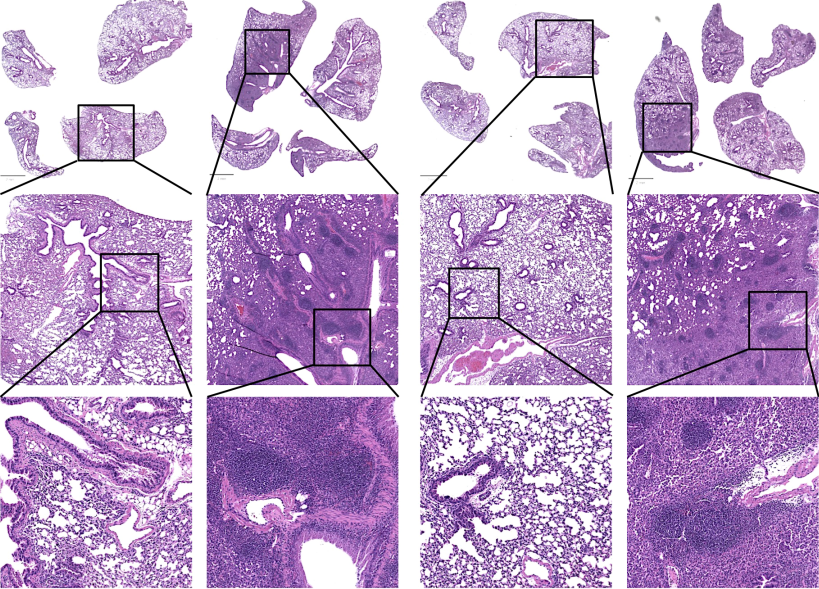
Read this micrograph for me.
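This grid of lung sections, stained pink and purple, runs from whole lobes at the top to airways and alveoli at higher magnification below. In two of the columns the lobes look dark purple at low power, and at higher power dense aggregates of small, round, darkly staining nucleated cells gather around bronchioles and blood vessels and spread into the surrounding tissue. In the other two columns the lobes are pale, airways are lined by a tidy epithelium, and the alveolar walls are thin, with only scattered cells around the airways; some areas of alveoli appear collapsed.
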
